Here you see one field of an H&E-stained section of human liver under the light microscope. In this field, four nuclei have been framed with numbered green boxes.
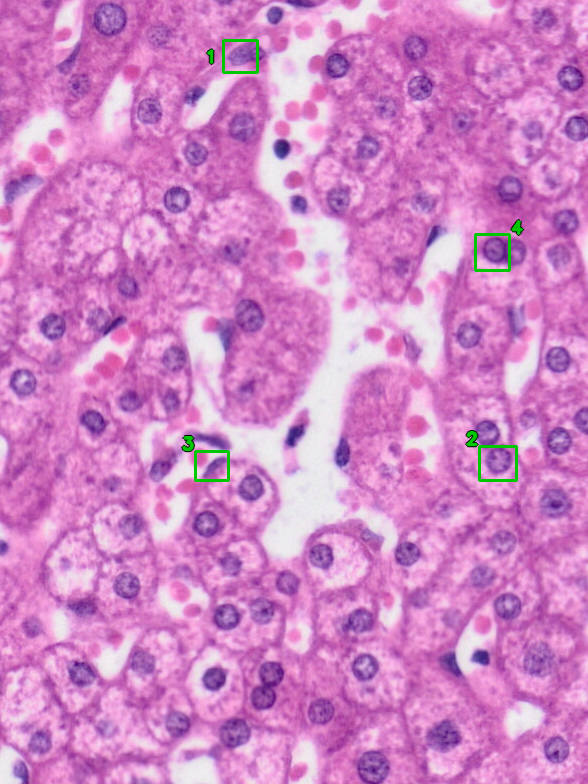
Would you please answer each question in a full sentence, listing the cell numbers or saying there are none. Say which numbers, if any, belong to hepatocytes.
On this slide, the cells numbered 2 and 4 are hepatocytes.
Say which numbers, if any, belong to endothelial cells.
Of the cells carrying numbers, just cell 3 is an endothelial cell.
